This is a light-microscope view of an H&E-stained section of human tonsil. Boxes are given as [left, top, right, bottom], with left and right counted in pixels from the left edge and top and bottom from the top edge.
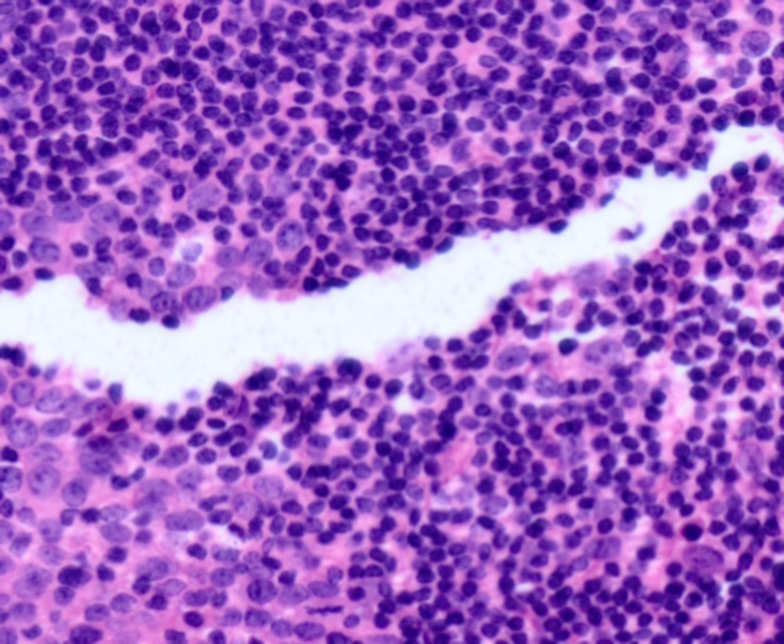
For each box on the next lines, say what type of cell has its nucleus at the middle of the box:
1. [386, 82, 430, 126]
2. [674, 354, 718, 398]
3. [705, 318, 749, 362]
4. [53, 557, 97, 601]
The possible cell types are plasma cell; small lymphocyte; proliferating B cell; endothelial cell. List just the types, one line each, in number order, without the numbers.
small lymphocyte
small lymphocyte
small lymphocyte
proliferating B cell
